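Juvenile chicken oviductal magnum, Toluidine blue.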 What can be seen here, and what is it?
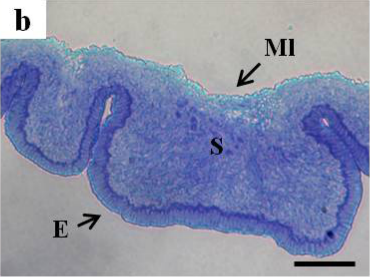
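The epithelium forms a continuous, dark blue band of closely packed columnar cells that follows the folds and dips into clefts. Beneath it the stroma is paler blue, with scattered cells and a loose texture, and contains no glands. Along the upper side the tissue edge is pale and less compact, where the muscular layer lies. The contrast between the intensely stained epithelium and the lighter stroma is striking.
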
